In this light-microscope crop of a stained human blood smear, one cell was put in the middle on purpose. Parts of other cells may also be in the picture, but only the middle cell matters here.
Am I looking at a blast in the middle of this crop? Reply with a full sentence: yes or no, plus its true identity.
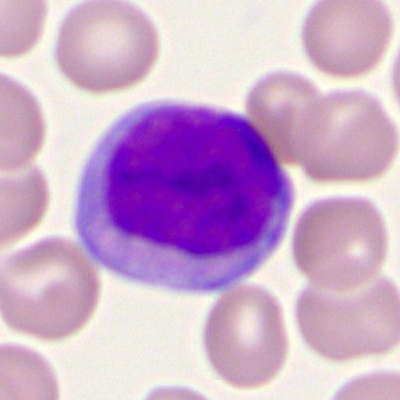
Yes, shown in the middle of the crop is a blast.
